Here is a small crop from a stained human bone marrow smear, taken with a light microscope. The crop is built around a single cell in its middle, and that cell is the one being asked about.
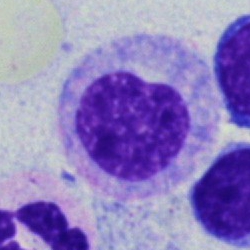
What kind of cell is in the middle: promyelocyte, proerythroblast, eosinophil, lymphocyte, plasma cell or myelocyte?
myelocyte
